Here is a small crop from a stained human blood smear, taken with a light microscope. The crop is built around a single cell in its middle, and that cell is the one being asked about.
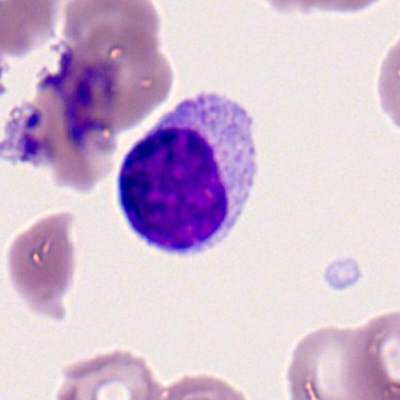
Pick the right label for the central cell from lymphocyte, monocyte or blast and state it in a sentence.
The cell positioned in the middle of the field is a lymphocyte.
